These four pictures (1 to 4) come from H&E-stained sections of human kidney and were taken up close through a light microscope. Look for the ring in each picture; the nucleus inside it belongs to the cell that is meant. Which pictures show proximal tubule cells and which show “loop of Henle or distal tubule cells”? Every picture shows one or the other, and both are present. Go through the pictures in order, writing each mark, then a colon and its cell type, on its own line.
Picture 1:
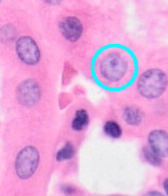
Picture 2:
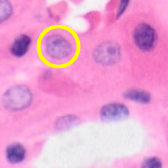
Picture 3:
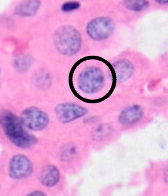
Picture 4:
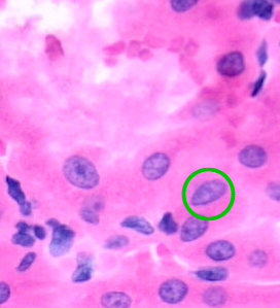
1: proximal tubule cell
2: proximal tubule cell
3: loop of Henle or distal tubule cell
4: proximal tubule cell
